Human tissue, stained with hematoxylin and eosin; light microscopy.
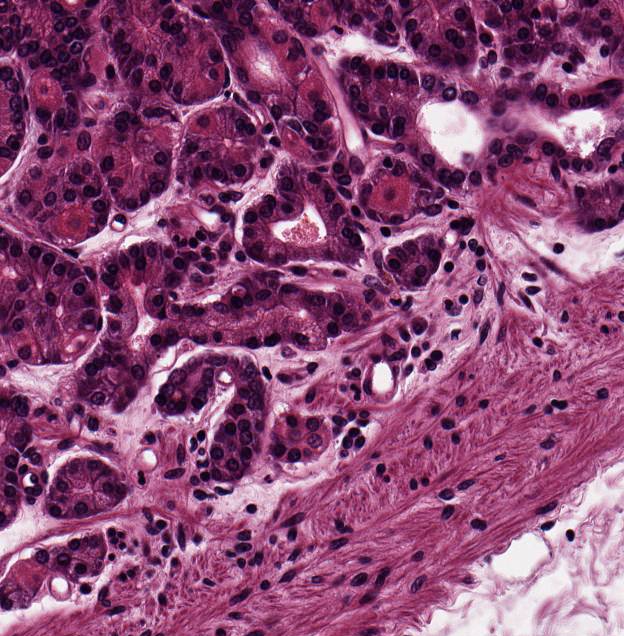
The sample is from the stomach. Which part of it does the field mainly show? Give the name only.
fundic glands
